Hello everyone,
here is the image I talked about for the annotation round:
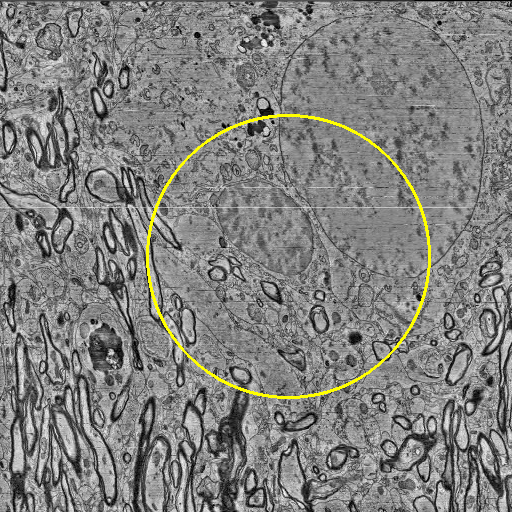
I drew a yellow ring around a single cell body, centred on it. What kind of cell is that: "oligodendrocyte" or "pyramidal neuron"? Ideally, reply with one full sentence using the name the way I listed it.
The cell your yellow ring is centred on is an oligodendrocyte, going by your list.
